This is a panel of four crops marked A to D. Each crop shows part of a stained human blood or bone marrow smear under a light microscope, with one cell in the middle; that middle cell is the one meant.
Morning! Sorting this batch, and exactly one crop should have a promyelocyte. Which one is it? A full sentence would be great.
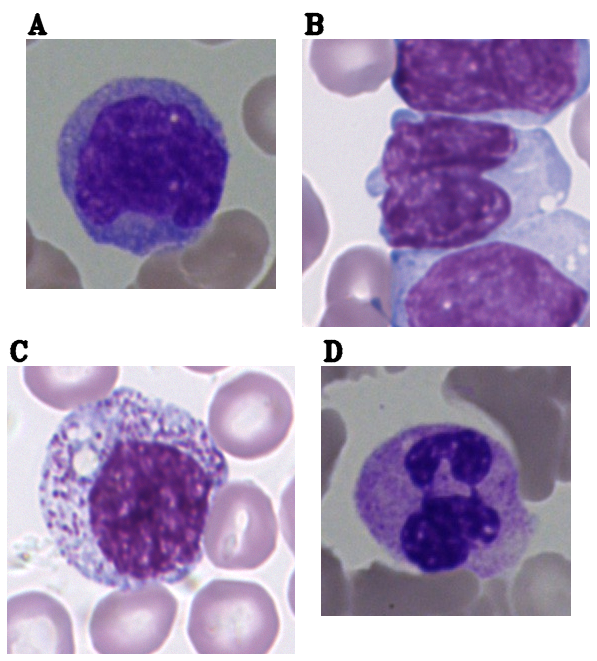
Crop C is the crop that shows a promyelocyte in its middle.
